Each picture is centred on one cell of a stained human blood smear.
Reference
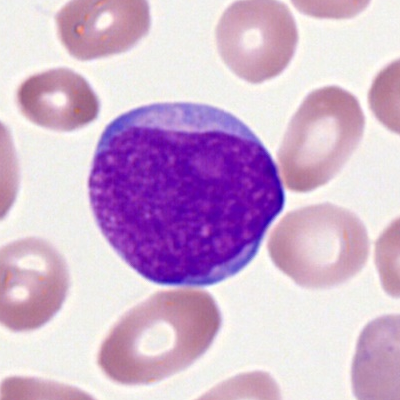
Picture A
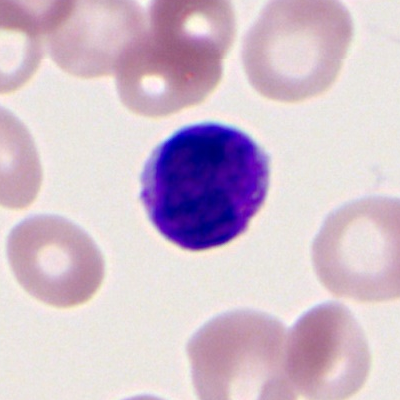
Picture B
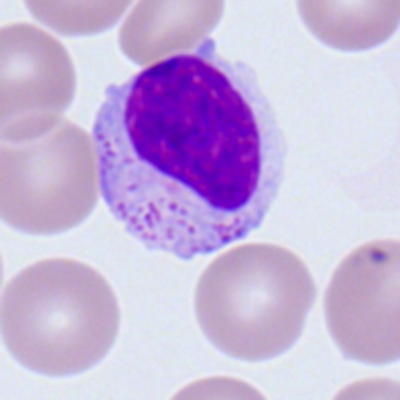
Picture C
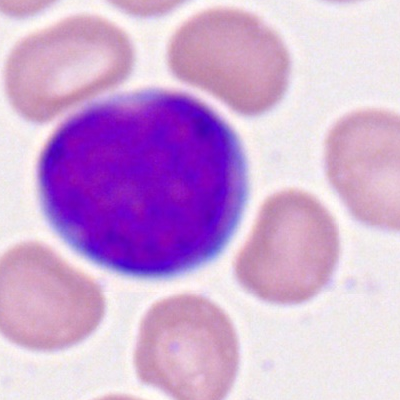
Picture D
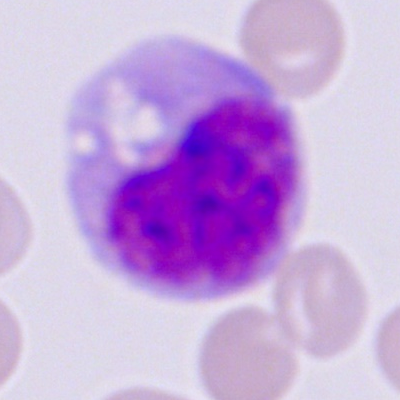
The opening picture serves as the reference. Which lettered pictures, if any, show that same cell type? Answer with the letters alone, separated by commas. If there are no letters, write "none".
C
